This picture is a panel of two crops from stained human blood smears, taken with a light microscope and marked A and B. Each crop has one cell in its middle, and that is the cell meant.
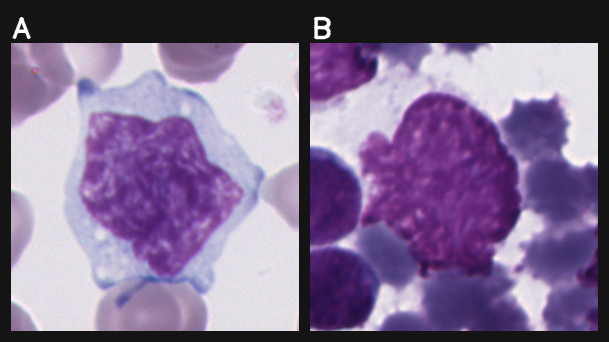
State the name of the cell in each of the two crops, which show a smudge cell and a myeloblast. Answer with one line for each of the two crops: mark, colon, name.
A: myeloblast
B: smudge cell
